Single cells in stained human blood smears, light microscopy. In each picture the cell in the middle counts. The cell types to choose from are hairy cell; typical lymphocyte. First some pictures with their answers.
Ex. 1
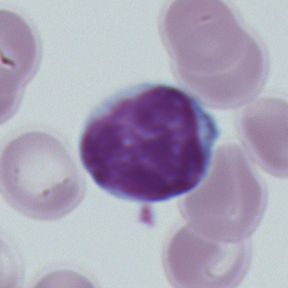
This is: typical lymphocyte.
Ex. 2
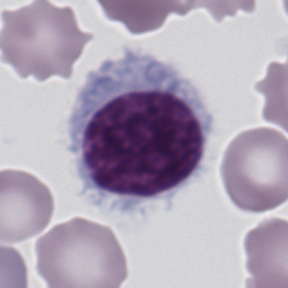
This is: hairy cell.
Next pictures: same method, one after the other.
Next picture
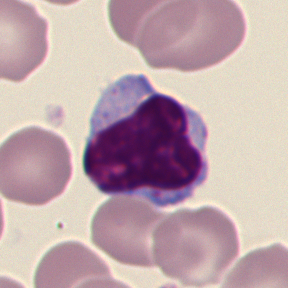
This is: typical lymphocyte.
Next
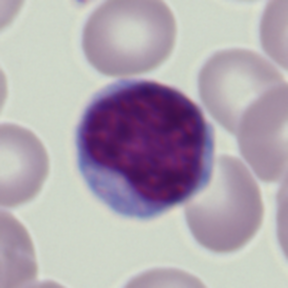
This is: typical lymphocyte.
